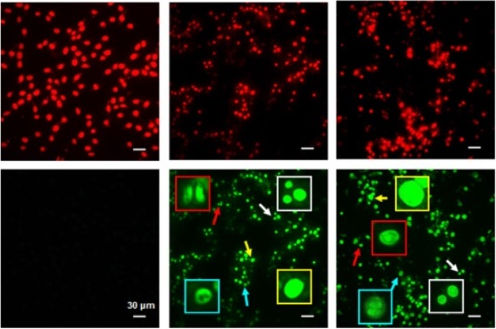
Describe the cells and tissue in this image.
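Dispersed, rounded single cells with nuclei stained red in the upper row, and the same kinds of fields with green nuclear staining in the lower row. In the left column the red nuclei are round, evenly sized and spread across the field, and there is no green staining. In the other fields many nuclei are bright green. The enlarged insets show compact, dense nuclei and nuclei broken into several small round fragments.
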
